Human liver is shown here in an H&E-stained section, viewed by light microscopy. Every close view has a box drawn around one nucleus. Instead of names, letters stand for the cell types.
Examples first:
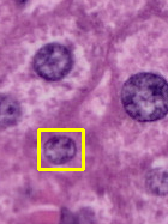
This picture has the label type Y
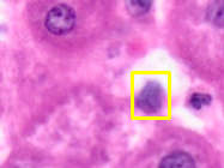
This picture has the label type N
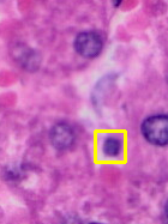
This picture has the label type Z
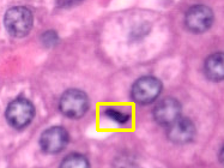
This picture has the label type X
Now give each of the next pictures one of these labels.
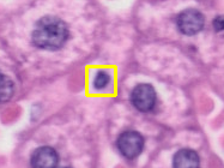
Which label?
type Z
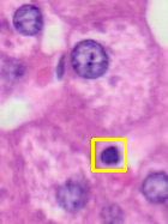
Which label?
type Z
